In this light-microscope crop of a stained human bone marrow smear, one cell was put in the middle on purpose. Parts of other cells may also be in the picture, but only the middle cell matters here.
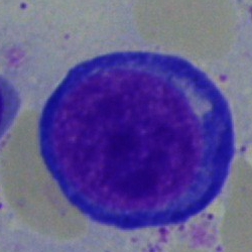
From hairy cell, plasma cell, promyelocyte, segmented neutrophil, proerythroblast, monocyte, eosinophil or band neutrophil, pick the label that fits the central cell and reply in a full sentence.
Located at the centre of the crop is a proerythroblast.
